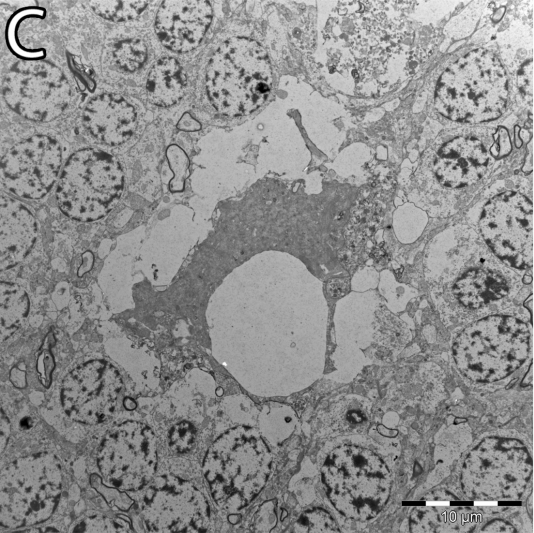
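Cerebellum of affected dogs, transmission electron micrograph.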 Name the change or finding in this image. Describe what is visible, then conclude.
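An irregular dark profile lies in the center. Clear pale vacuoles and spaces surround it. Rows of small round nuclei with clumped chromatin surround the lesion. On this evidence: shrunken and surrounded by a vacuolated space.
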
